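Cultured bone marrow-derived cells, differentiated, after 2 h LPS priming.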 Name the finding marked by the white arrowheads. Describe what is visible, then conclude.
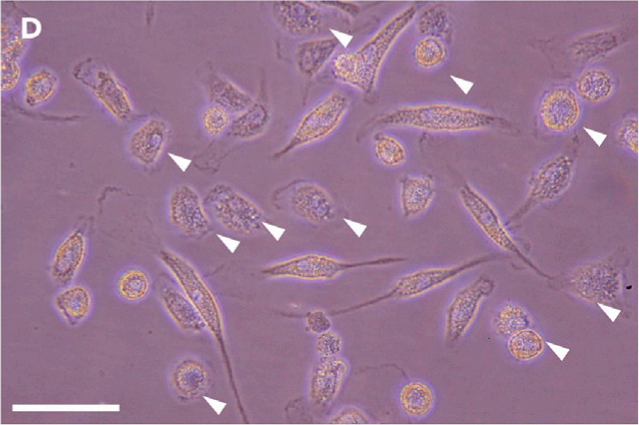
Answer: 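The cells next to the arrowheads are rounded with no long processes. Their cell bodies look plump and granular compared with the elongated spindle cells nearby.
Hence: Loss of ramifications and the swelling of the cell body.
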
